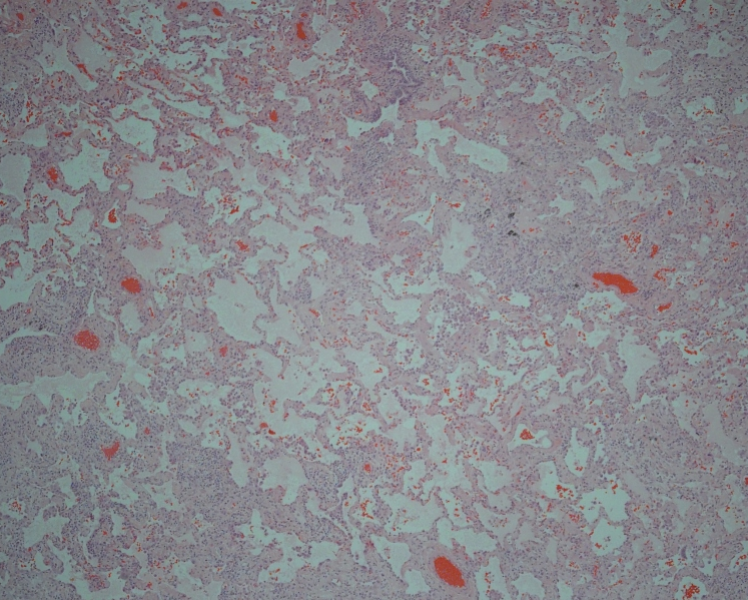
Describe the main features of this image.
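Lung parenchyma is seen at low power, with irregular, partly collapsed air spaces separated by alveolar walls that are widened by pink fibrous tissue containing many small purple nuclei. Denser, more solid zones of thickened interstitium alternate with areas where the air spaces stay more open. Small vessels packed with bright red blood cells lie scattered through the walls, and red cells are also seen in some air spaces.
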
